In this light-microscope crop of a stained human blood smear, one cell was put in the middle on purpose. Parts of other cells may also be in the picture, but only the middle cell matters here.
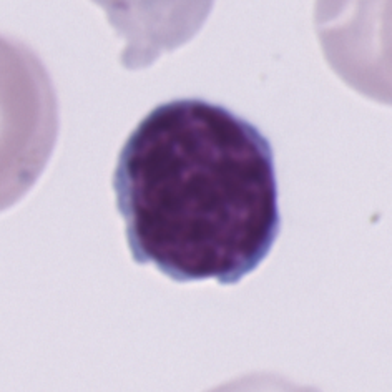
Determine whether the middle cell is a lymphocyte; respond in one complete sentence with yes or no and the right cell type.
Yes, placed in the middle of the crop is a lymphocyte.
